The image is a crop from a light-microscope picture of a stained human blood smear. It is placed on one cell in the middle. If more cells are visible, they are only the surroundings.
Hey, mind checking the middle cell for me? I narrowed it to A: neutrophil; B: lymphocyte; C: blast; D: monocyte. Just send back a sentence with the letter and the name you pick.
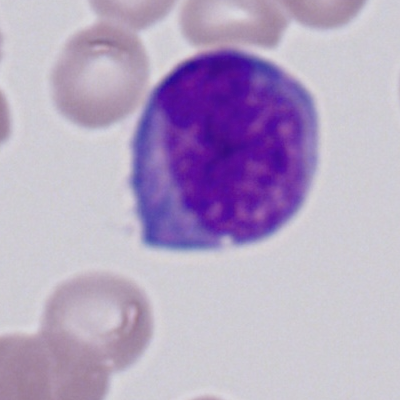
Option C holds up: the cell in the middle is a blast.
